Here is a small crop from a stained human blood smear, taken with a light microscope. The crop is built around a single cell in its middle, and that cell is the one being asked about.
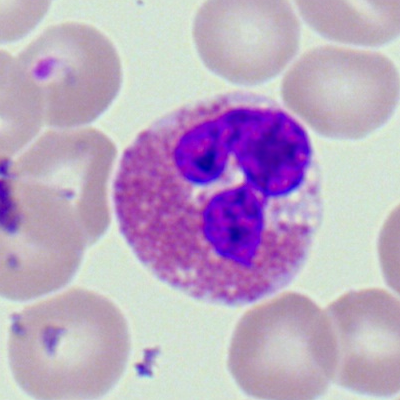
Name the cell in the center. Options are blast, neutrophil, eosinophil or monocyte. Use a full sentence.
Looking at the middle of the crop, the cell there is an eosinophil.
